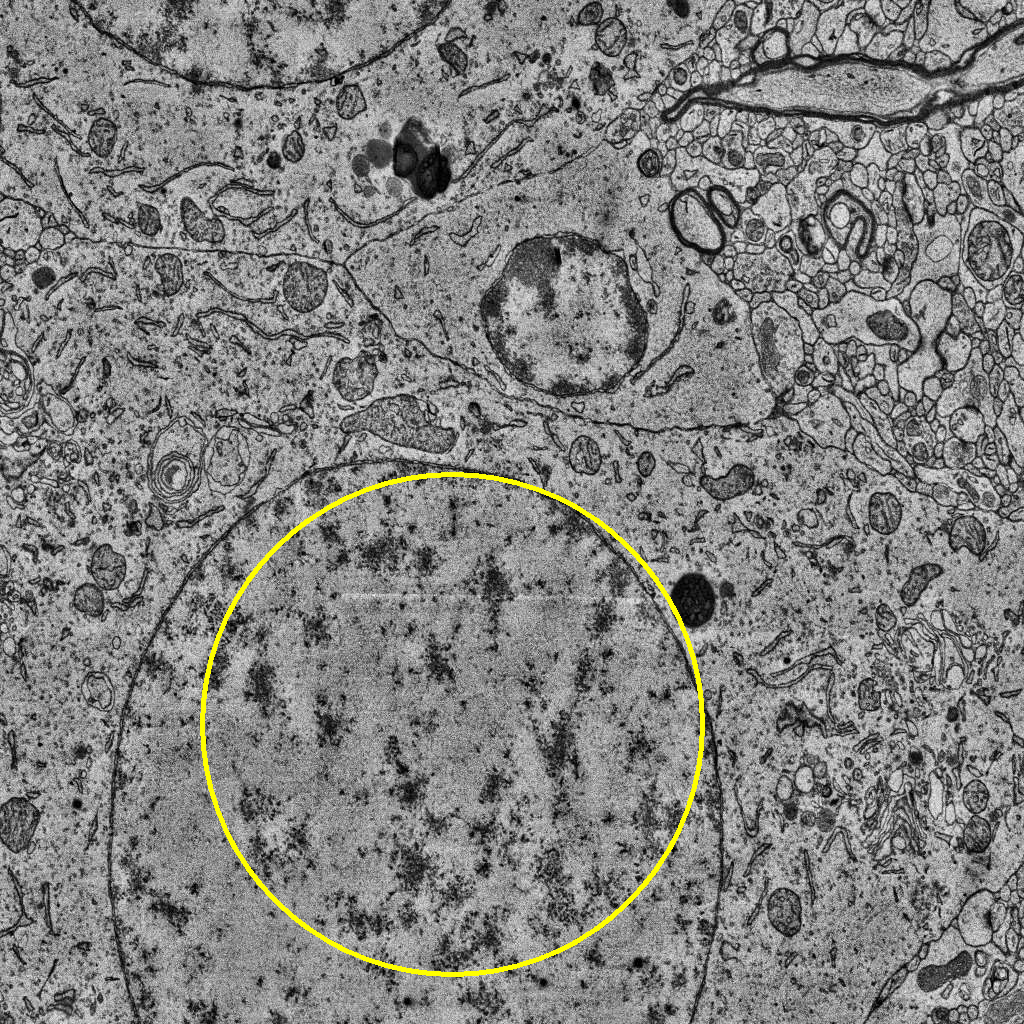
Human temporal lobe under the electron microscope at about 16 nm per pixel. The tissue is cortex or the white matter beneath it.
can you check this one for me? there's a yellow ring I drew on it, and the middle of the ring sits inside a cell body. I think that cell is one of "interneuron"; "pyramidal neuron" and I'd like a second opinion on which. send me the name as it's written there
pyramidal neuron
